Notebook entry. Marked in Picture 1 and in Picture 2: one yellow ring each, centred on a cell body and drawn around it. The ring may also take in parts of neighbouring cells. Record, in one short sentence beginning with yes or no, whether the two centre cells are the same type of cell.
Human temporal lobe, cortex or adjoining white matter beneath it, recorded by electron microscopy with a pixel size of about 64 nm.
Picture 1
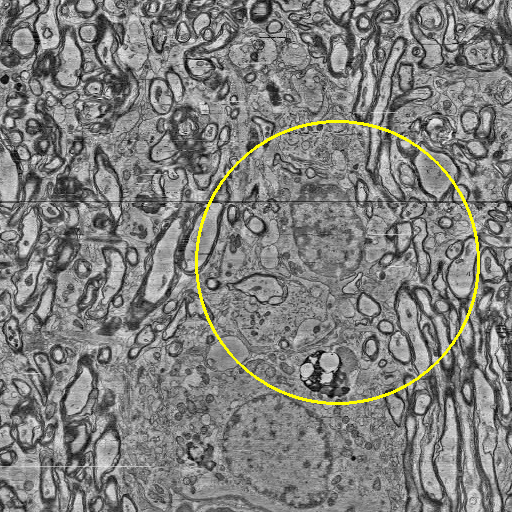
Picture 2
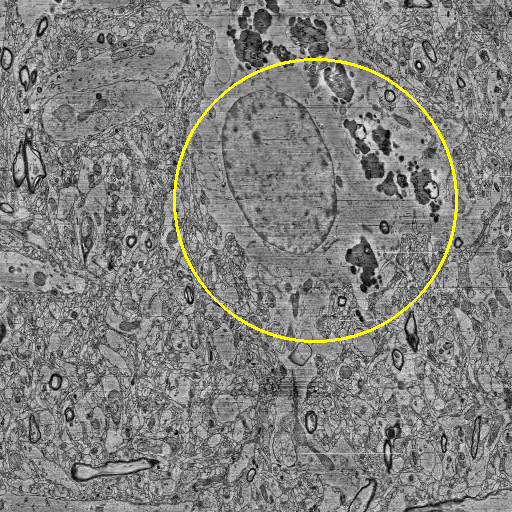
No, they are two types of cell.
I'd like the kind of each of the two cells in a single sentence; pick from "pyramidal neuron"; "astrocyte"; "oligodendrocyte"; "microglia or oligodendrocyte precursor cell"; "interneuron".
The first ring marks an oligodendrocyte, and the second ring marks an astrocyte.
